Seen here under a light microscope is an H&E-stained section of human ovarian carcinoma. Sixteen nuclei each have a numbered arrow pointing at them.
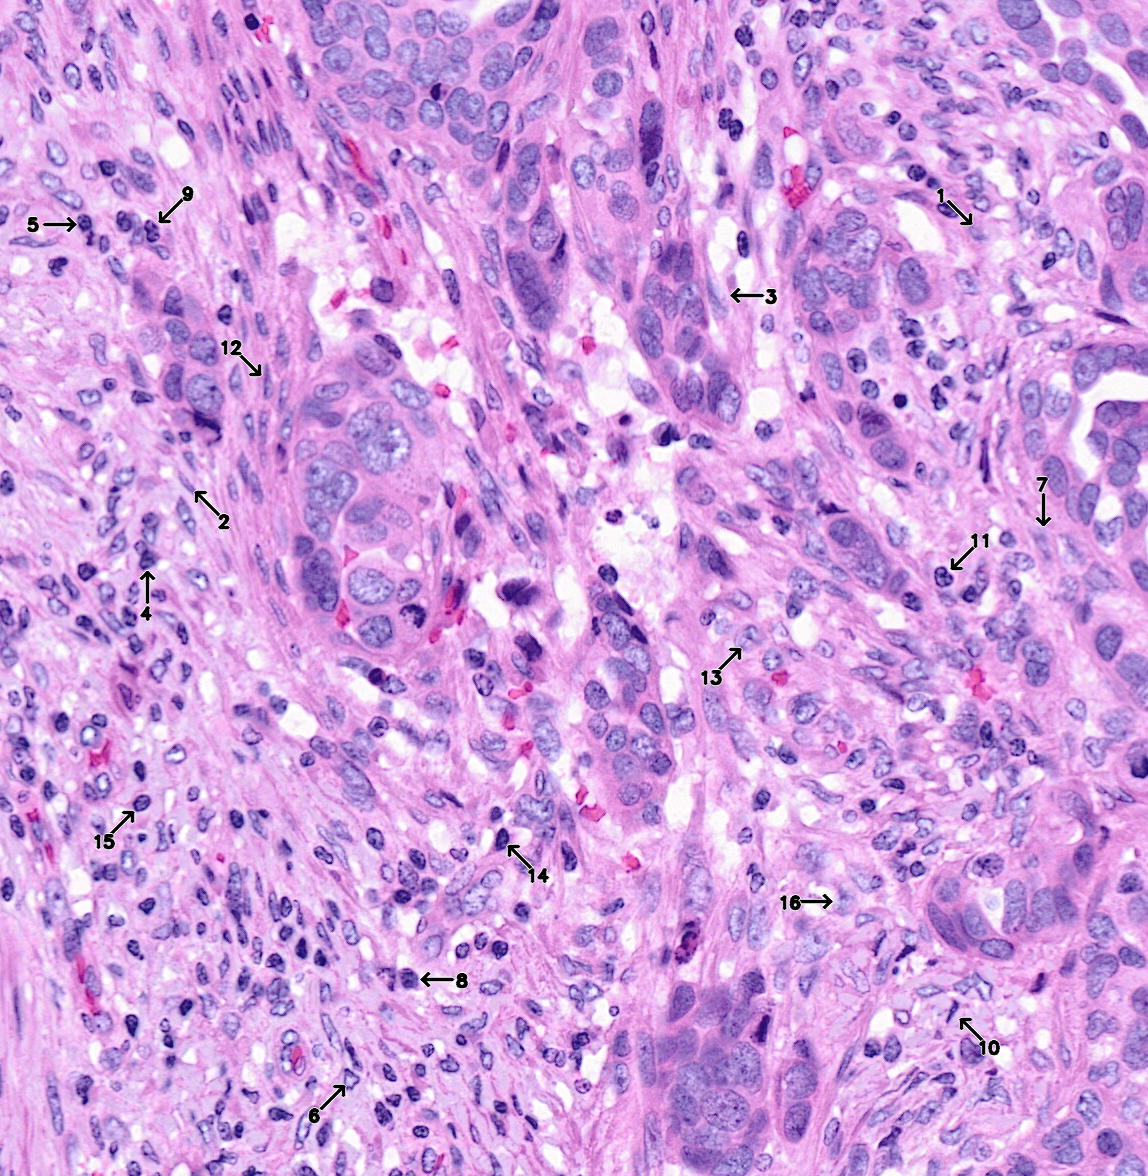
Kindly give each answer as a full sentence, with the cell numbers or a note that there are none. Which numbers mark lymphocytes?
So, the cells with numbers 4, 5, 8, 9, 11, 14 and 15 are lymphocytes.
